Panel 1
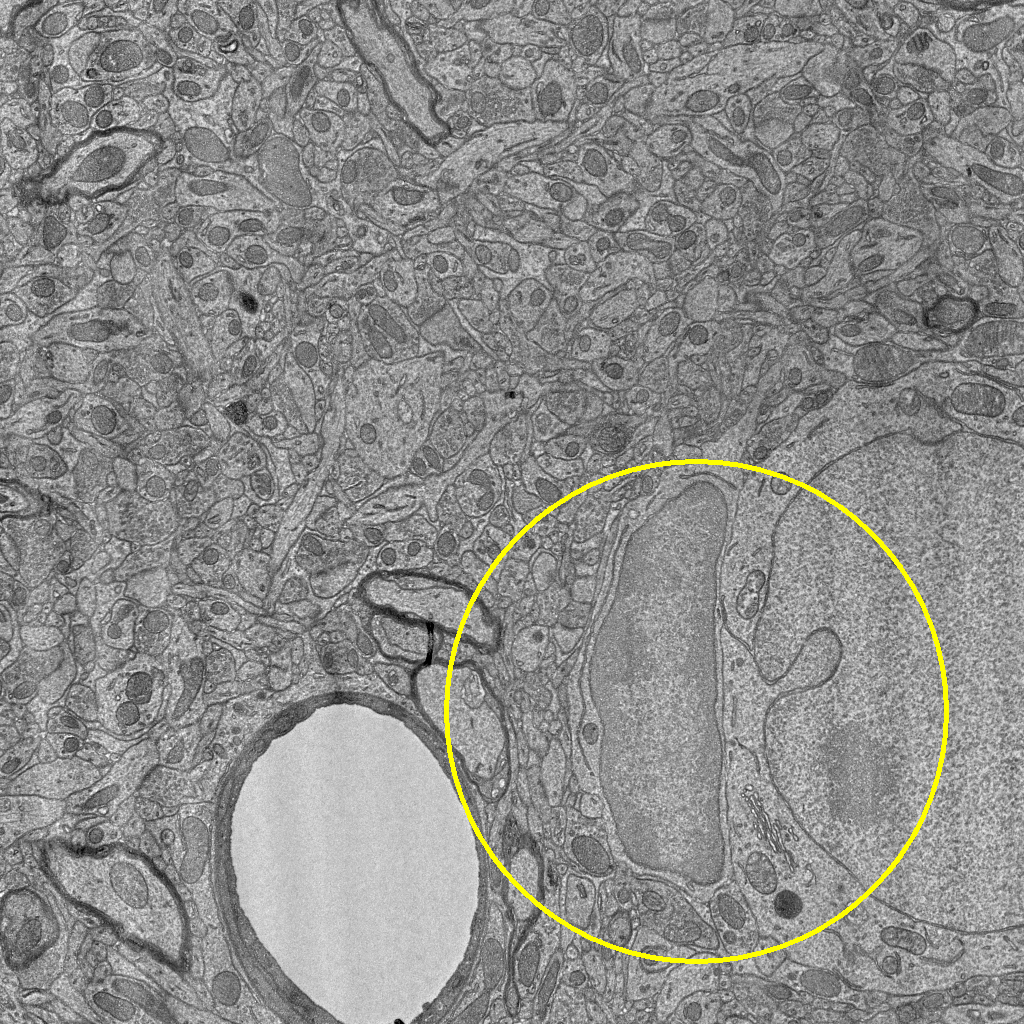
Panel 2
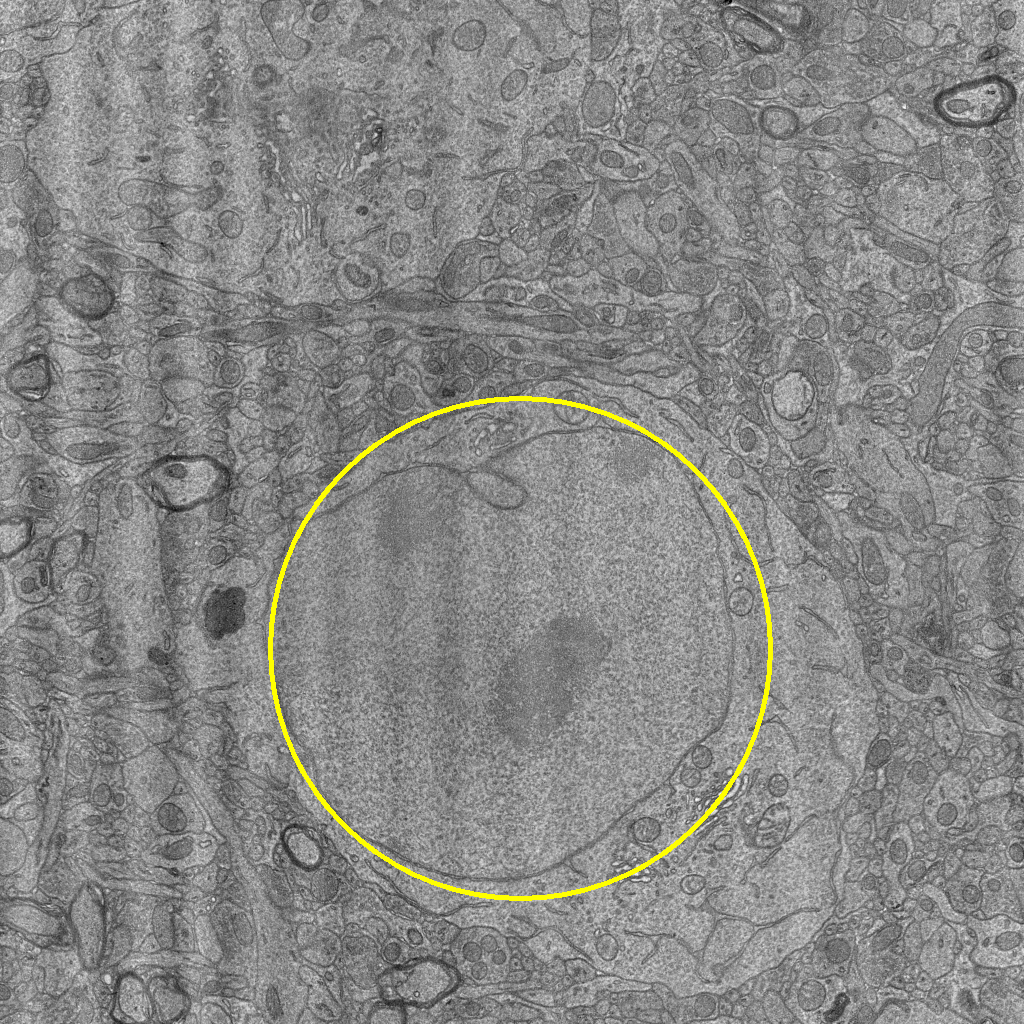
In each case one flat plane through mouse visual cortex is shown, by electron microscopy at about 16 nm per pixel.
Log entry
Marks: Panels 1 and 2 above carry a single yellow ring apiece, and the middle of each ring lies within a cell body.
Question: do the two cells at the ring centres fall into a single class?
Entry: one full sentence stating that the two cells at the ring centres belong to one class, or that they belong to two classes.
The two cells at the ring centres in Panels 1 and 2 belong to two classes.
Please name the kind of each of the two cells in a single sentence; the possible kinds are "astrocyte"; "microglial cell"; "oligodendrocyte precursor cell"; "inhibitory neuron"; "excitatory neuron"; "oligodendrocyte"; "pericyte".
The first picture has a microglial cell at its ring centre, and the second has an excitatory neuron.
